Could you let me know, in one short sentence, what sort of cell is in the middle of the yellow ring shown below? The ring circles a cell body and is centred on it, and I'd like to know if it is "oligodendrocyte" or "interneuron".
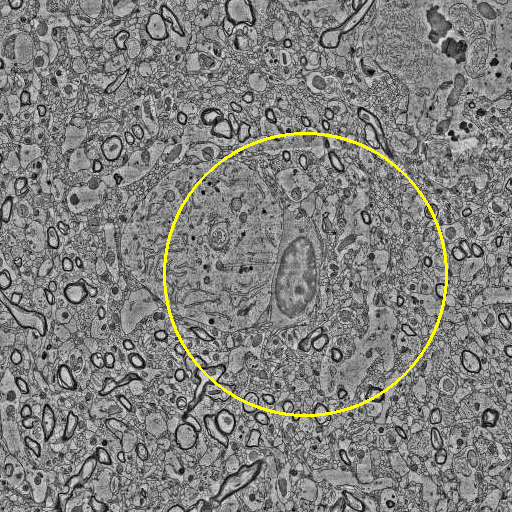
The ring circles the cell body of an oligodendrocyte.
